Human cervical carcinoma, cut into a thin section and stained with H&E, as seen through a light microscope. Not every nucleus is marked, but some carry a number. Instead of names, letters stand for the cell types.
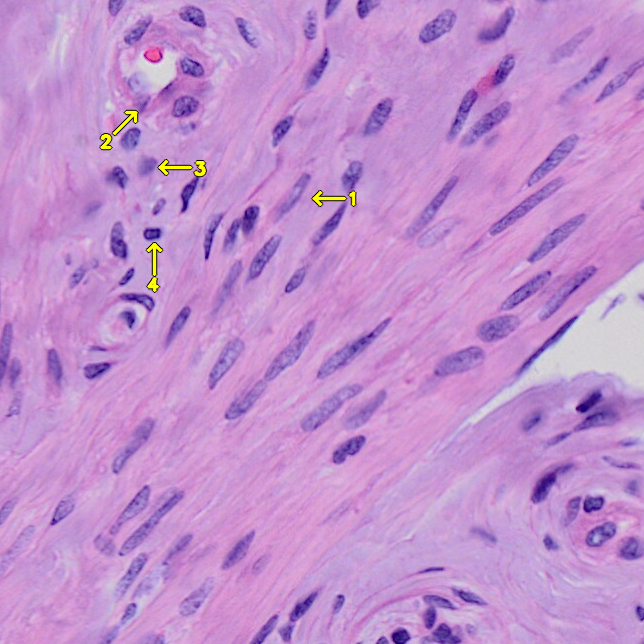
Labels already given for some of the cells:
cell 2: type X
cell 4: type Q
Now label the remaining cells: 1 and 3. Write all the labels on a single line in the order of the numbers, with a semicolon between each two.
type Q; type Q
